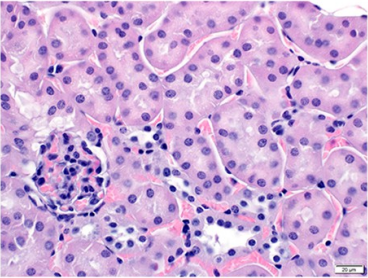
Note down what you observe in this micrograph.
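This is kidney tissue stained with hematoxylin and eosin, with nuclei in blue-purple and cytoplasm in pink. Most of the field is packed with tubules in cross section, each ringed by a single layer of cuboidal epithelial cells with generous pink, slightly granular cytoplasm and round, evenly spaced nuclei. The tubules lie close together, separated only by thin strands of interstitium with a few small vessels that hold bright pink red cells. At lower left sits a glomerulus: a compact, rounded tuft of closely packed nuclei in a narrow surrounding space. The tissue looks orderly, with no crowding of nuclei.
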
